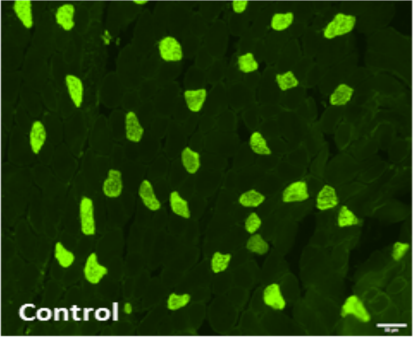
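This is a cross-section of skeletal muscle showing myofibers cut transversely. The fibers are polygonal and tightly packed, separated only by thin boundaries. A minority of fibers are filled with a bright green fluorescence, while most fibers are dark with only faintly visible outlines. The bright green fibers are scattered singly among the dark fibers rather than grouped together.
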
